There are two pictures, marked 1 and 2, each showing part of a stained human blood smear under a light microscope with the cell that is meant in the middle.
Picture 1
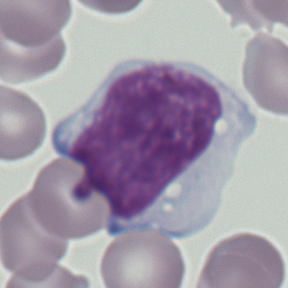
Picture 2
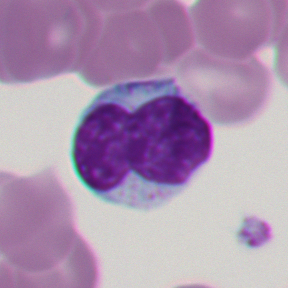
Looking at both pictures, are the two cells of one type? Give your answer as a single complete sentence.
No, the types are not the same, since picture 1 shows a myeloblast and picture 2 a typical lymphocyte.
